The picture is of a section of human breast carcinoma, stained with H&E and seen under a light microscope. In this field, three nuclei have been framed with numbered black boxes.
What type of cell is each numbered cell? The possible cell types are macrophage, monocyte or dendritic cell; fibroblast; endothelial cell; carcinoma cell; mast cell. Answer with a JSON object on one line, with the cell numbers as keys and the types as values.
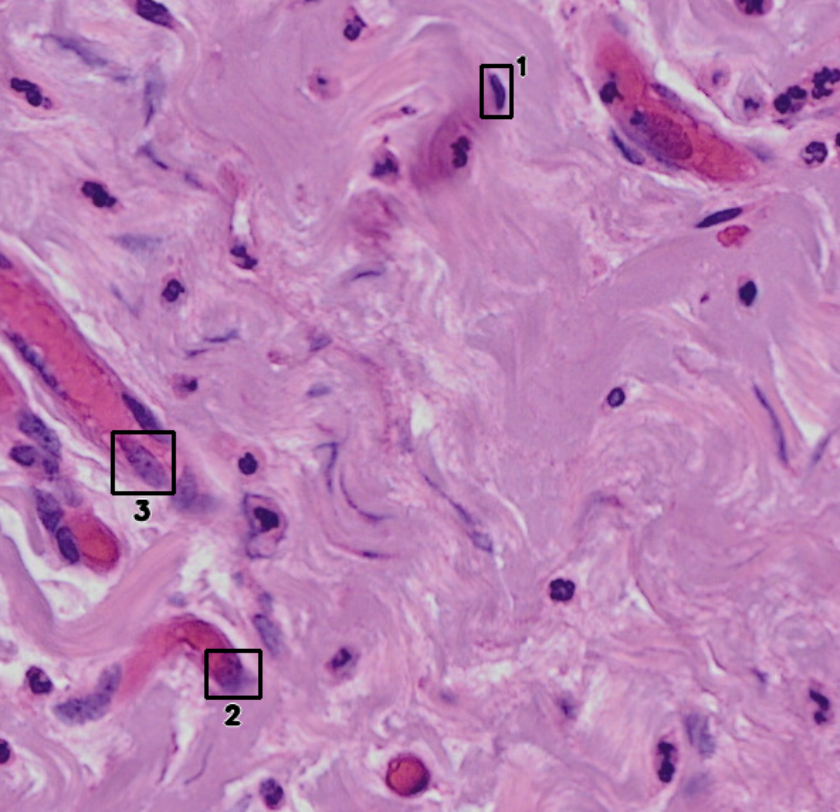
{"1": "fibroblast", "2": "endothelial cell", "3": "endothelial cell"}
